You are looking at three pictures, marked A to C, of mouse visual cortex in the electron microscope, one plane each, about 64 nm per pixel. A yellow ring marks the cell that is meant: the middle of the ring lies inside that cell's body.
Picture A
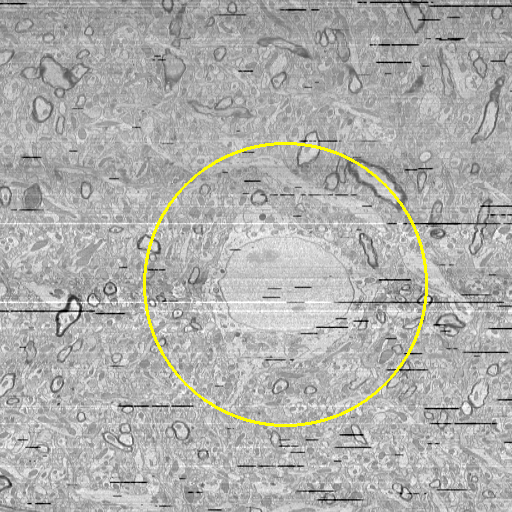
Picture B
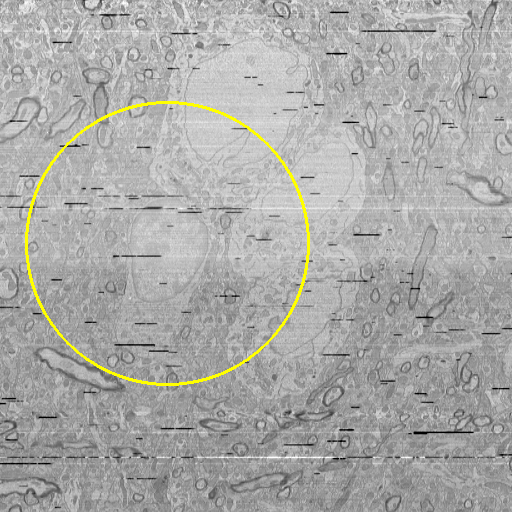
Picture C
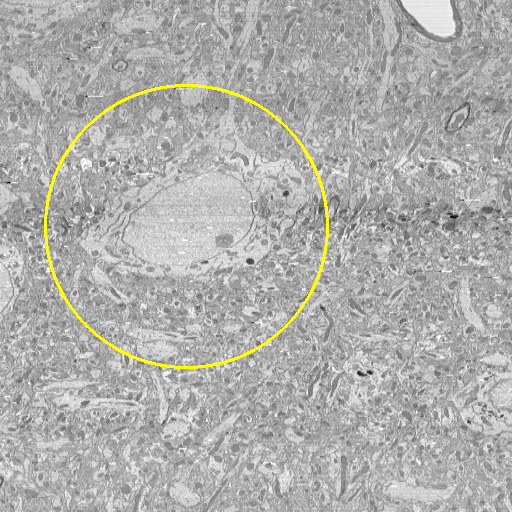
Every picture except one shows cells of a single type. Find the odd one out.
The others show excitatory neurons, but picture B shows an oligodendrocyte.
